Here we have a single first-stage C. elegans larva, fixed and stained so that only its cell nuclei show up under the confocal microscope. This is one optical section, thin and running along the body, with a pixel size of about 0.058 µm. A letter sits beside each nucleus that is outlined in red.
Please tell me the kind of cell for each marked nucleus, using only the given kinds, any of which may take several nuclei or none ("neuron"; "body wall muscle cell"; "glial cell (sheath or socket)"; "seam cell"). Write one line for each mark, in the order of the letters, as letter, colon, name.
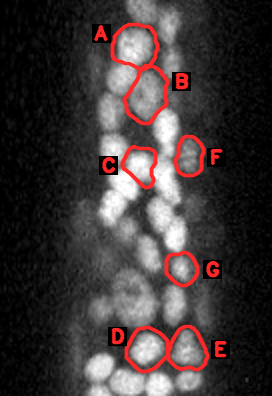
A: glial cell (sheath or socket)
B: seam cell
C: neuron
D: neuron
E: neuron
F: body wall muscle cell
G: body wall muscle cell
